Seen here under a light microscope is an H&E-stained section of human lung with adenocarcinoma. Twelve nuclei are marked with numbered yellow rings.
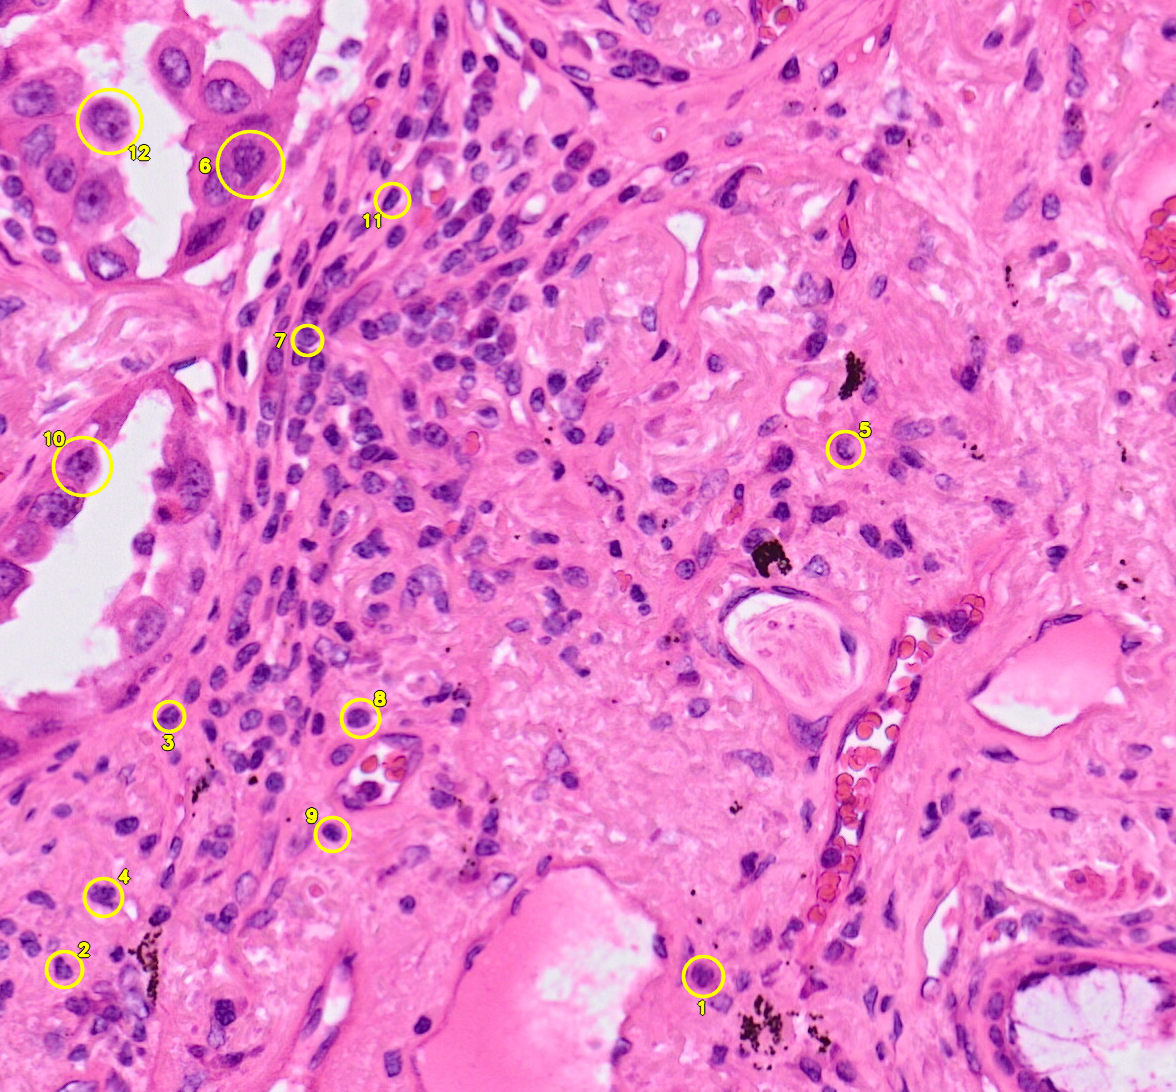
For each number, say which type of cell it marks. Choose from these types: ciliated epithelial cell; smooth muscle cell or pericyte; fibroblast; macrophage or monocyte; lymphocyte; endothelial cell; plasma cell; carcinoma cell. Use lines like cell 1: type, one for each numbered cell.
cell 1: plasma cell
cell 2: lymphocyte
cell 3: lymphocyte
cell 4: lymphocyte
cell 5: plasma cell
cell 6: carcinoma cell
cell 7: lymphocyte
cell 8: lymphocyte
cell 9: lymphocyte
cell 10: carcinoma cell
cell 11: lymphocyte
cell 12: carcinoma cell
